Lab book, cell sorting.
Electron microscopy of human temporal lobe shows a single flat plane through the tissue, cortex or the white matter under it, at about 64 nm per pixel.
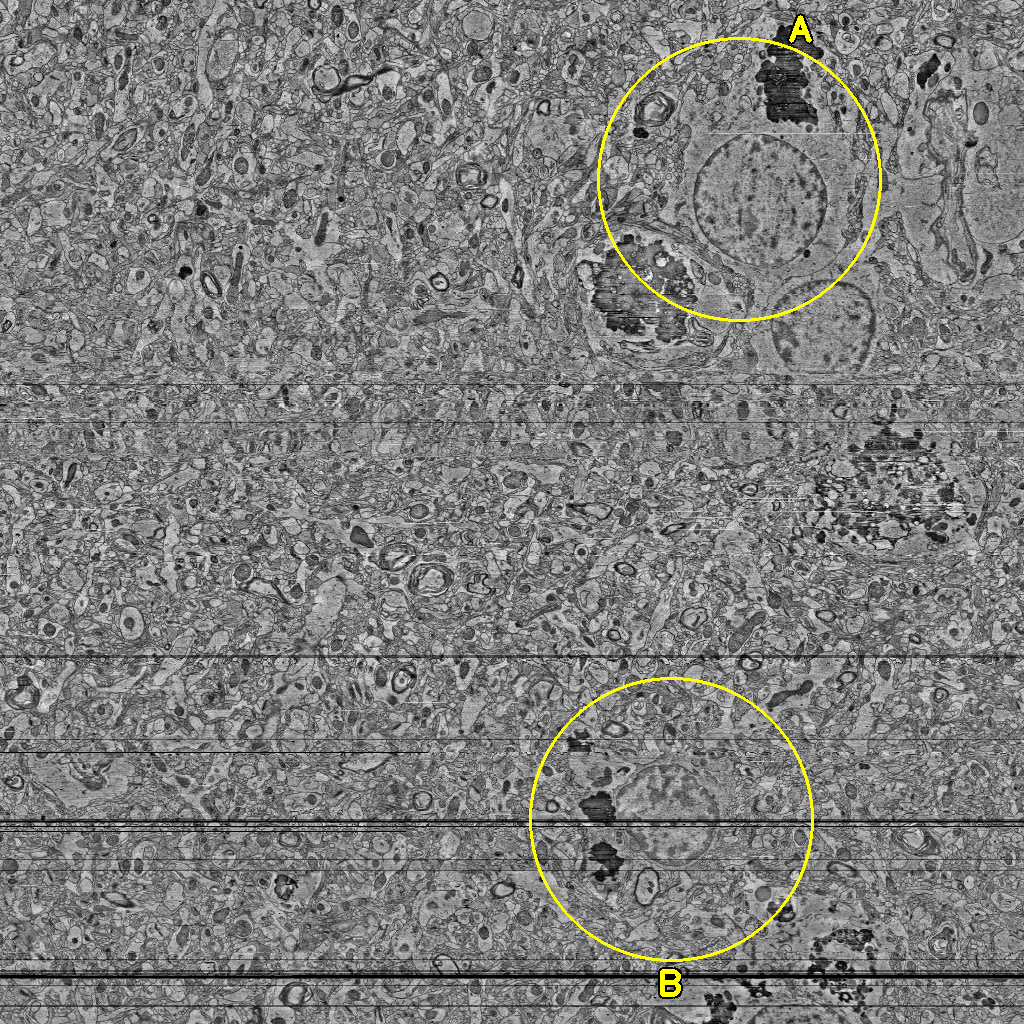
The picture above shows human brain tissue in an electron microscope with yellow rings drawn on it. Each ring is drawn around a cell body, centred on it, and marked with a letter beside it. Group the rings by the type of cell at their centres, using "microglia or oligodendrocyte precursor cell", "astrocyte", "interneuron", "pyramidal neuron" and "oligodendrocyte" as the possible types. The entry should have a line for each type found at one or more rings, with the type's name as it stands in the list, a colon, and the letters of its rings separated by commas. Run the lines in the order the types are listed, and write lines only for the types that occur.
astrocyte: A
oligodendrocyte: B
